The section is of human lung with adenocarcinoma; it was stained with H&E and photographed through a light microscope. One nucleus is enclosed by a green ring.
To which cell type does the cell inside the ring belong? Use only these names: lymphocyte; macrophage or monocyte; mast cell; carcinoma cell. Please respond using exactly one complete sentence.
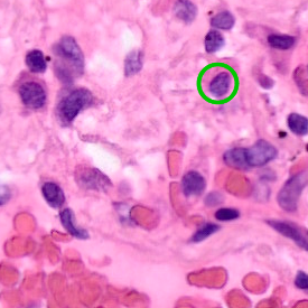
It is as a mast cell that the cell inside the ring is classified.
